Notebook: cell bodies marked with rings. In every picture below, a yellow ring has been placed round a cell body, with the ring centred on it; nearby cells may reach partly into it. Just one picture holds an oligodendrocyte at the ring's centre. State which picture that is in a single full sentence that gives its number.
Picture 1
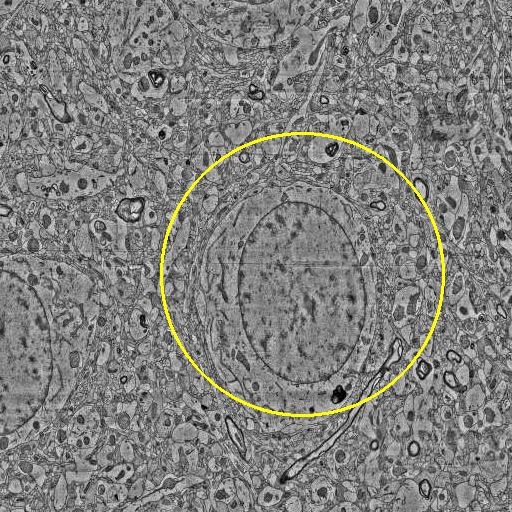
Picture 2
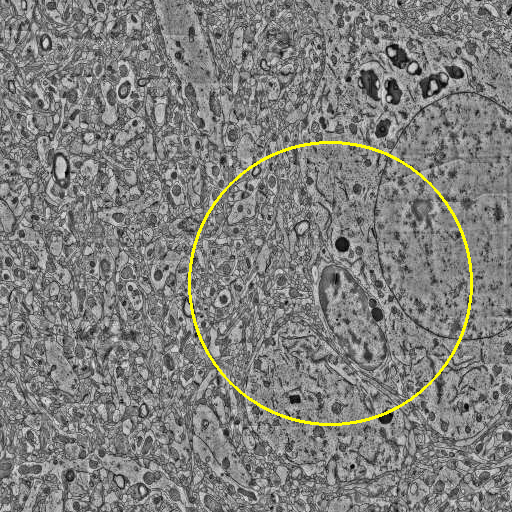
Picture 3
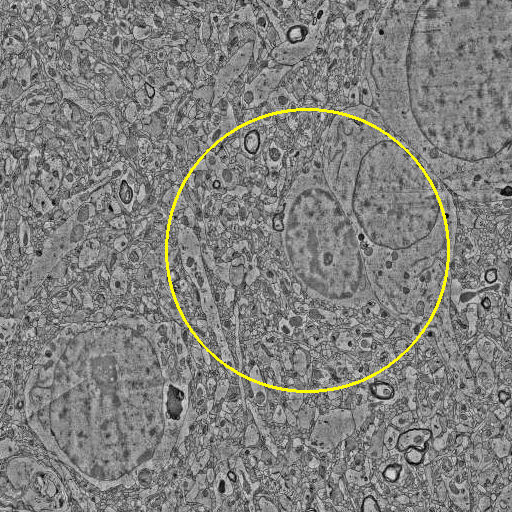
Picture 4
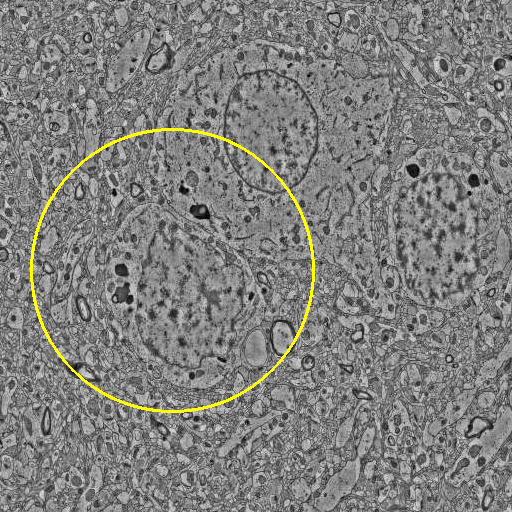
It is picture 3 whose ring has the wanted cell right at its centre.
